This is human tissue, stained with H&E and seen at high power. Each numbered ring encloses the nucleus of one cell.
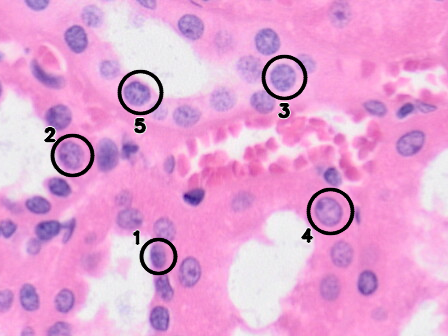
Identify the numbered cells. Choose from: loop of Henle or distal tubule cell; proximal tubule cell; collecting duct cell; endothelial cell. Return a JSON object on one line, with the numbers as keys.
{"1": "loop of Henle or distal tubule cell", "2": "loop of Henle or distal tubule cell", "3": "collecting duct cell", "4": "proximal tubule cell", "5": "collecting duct cell"}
